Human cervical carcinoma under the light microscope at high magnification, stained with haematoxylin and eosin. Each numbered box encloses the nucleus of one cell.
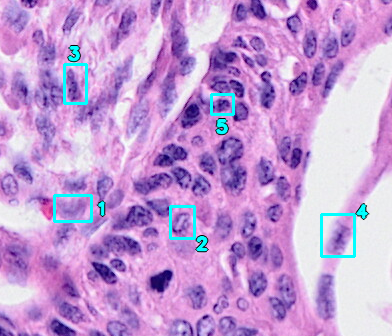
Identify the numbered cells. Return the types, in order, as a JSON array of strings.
["endothelial cell", "squamous carcinoma cell", "fibroblast", "squamous carcinoma cell", "squamous carcinoma cell"]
